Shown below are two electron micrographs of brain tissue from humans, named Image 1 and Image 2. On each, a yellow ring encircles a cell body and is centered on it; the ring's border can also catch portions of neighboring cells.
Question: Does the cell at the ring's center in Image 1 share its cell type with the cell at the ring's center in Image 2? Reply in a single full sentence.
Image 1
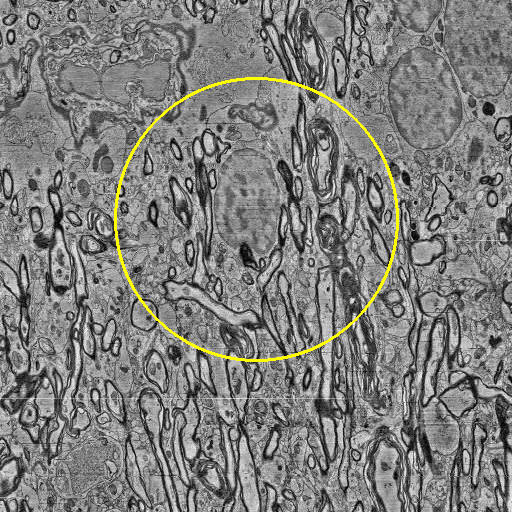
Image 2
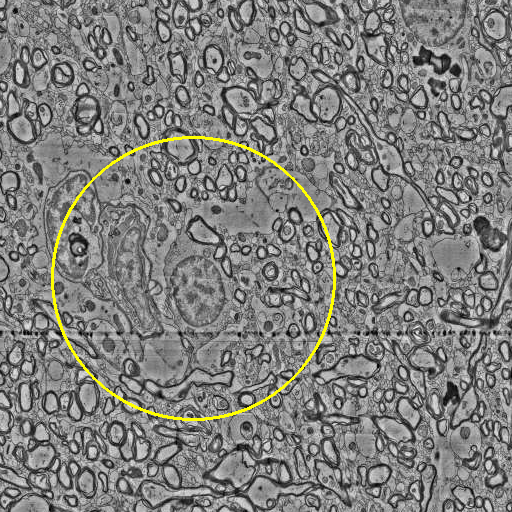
Yes, the two cells at the ring centers, in Image 1 and Image 2, share one cell type.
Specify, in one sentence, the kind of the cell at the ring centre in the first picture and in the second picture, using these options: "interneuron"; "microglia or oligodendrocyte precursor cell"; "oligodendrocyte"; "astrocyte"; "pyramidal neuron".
Both cells are the same kind, each one being an oligodendrocyte.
